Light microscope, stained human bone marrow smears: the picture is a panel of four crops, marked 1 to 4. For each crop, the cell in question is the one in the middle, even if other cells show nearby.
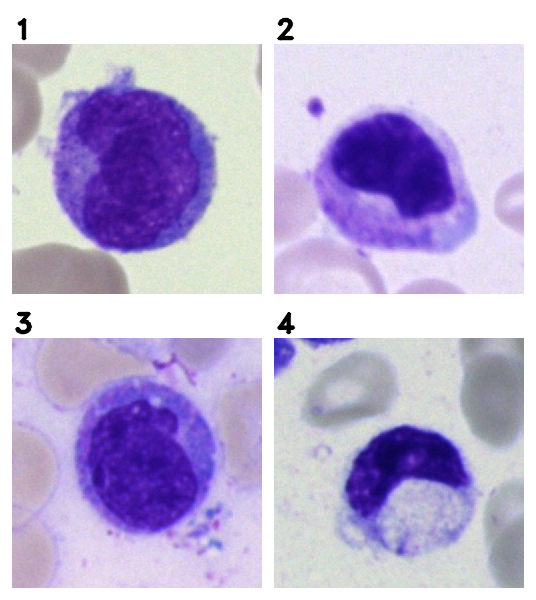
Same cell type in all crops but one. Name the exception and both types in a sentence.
Crop 2 does not match the others; it shows a metamyelocyte, and they show monocytes.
